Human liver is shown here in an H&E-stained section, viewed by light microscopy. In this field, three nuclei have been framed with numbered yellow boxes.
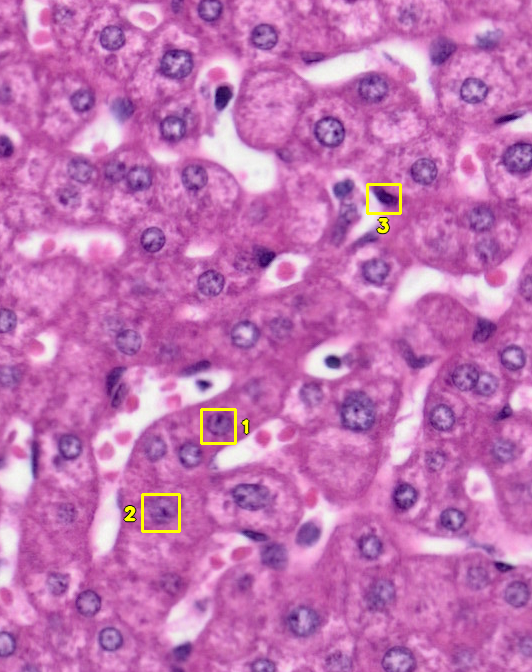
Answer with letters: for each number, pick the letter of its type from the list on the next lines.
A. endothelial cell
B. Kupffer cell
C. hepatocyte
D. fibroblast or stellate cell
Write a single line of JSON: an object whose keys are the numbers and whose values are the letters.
{"1": "C", "2": "C", "3": "D"}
